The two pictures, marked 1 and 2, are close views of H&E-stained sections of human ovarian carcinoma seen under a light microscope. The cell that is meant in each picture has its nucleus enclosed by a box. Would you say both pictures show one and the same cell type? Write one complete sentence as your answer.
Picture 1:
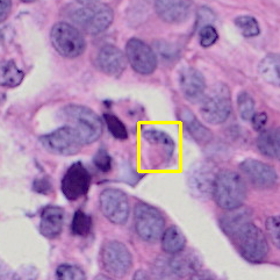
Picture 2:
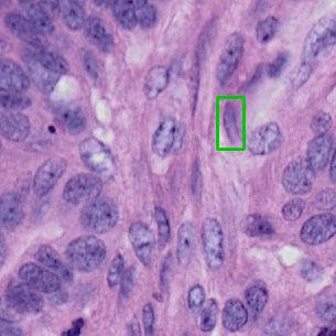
No, the types are not the same, since picture 1 shows a “macrophage or monocyte” and picture 2 a fibroblast.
